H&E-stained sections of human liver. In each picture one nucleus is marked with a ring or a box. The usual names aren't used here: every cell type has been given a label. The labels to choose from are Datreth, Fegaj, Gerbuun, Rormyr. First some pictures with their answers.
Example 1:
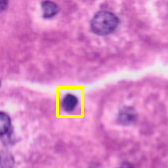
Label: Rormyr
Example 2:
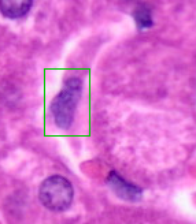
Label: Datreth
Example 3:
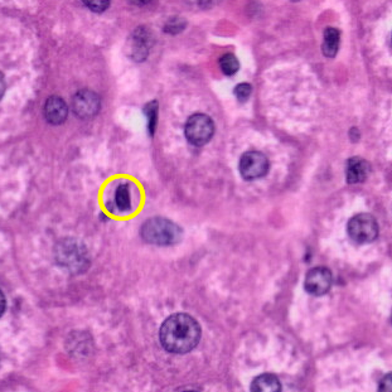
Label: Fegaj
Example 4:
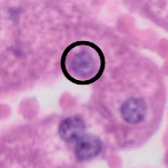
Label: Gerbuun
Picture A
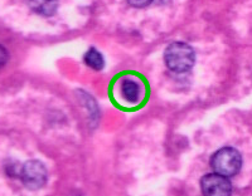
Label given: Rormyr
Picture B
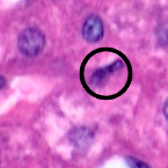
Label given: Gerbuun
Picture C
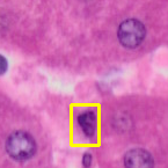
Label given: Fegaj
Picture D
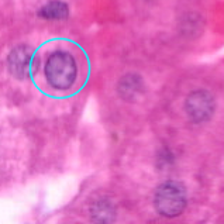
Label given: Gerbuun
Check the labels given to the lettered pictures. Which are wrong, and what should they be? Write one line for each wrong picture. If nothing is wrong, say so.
B is labelled Gerbuun; correct label: Fegaj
